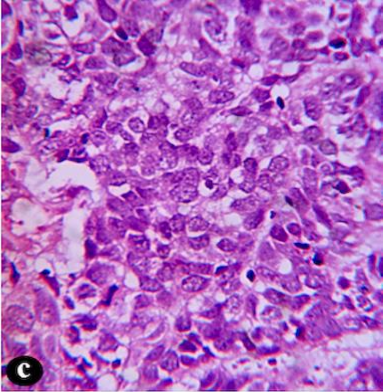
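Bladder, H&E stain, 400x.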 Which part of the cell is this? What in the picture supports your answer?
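Nuclei are round to oval. Chromatin is finely speckled. Nucleoli are not prominent. So: ‘salt-and-pepper’ chromatin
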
